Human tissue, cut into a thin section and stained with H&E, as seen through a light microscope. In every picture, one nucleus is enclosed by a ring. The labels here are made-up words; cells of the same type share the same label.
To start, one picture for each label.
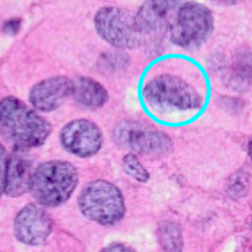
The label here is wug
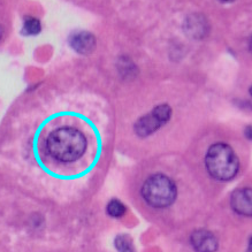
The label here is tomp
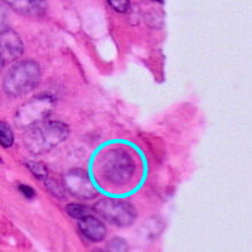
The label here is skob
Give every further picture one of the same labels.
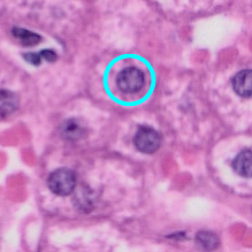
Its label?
tomp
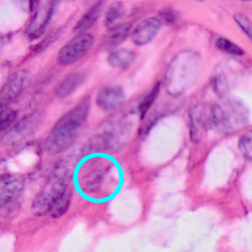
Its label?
skob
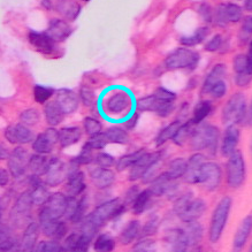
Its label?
skob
